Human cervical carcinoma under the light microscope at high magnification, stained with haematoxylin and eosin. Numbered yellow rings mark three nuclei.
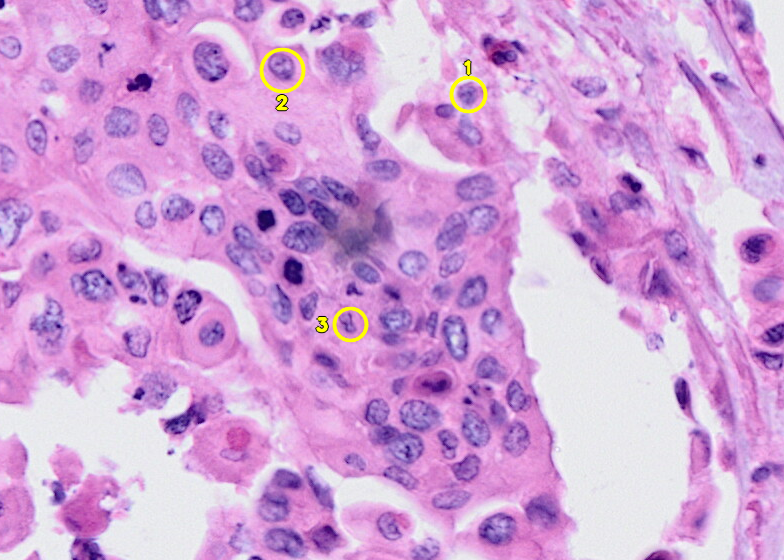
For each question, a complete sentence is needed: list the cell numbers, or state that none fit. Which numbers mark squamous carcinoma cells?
In this section, the cells labelled 2 and 3 are squamous carcinoma cells.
